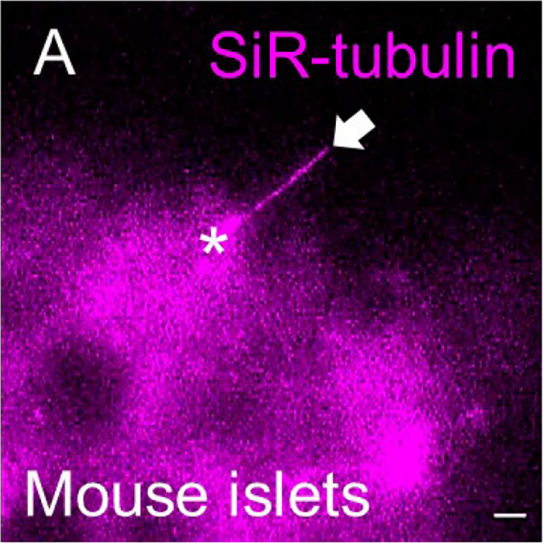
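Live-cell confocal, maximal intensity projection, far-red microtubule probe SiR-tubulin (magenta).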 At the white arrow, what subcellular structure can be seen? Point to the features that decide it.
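Primary cilia. A single thin straight magenta rod extends from a bright spot toward the arrow.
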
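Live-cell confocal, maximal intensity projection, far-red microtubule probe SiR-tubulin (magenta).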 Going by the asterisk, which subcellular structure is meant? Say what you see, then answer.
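The asterisk lies at the bright base from which the thin rod arises. On this evidence: centrioles.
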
